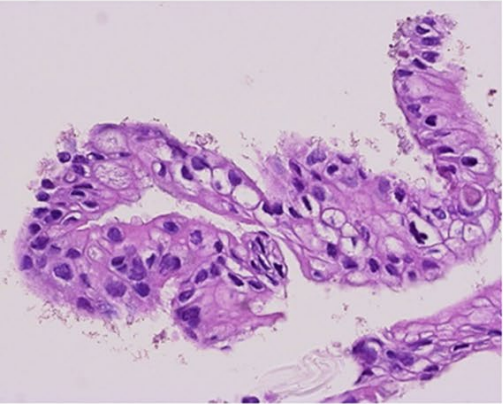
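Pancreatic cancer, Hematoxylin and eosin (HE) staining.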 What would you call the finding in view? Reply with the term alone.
atypical epithelium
